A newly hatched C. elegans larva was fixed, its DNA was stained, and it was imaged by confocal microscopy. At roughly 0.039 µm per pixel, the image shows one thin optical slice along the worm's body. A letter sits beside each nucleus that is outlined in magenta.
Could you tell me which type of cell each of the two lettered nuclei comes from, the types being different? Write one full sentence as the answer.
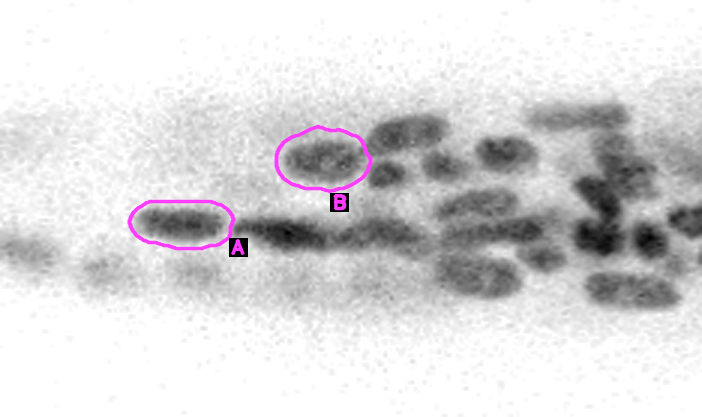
A is from a pharyngeal epithelial cell, and B is from a body wall muscle cell.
